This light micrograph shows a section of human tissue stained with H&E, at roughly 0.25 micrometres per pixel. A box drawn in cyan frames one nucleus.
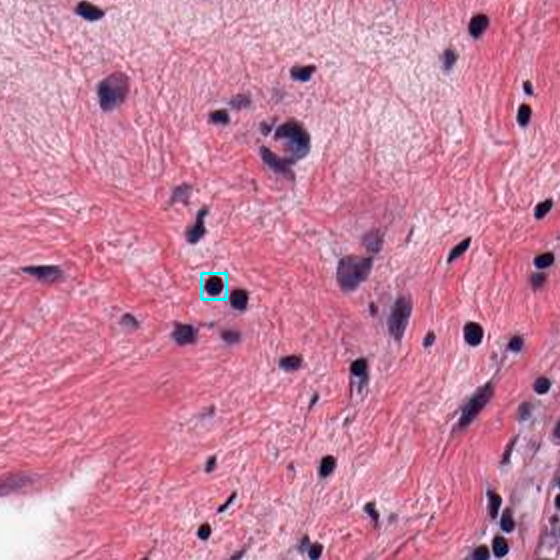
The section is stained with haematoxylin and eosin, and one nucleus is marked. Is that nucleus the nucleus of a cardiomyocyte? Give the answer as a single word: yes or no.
no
